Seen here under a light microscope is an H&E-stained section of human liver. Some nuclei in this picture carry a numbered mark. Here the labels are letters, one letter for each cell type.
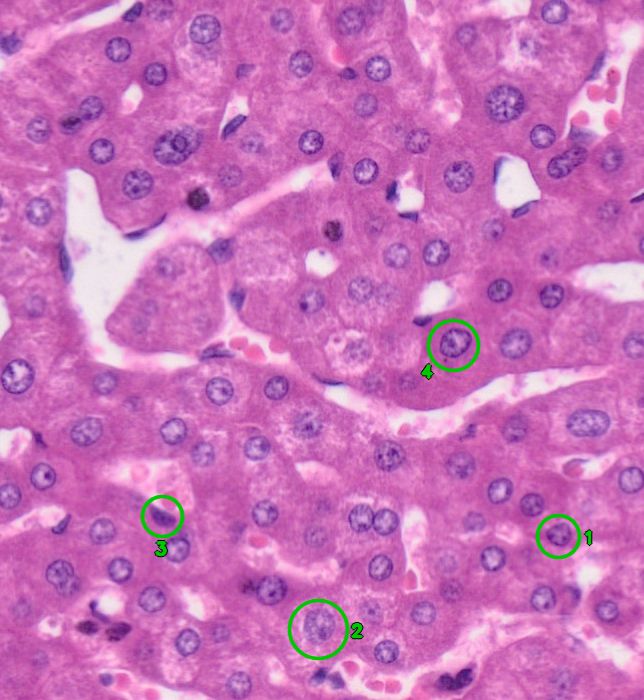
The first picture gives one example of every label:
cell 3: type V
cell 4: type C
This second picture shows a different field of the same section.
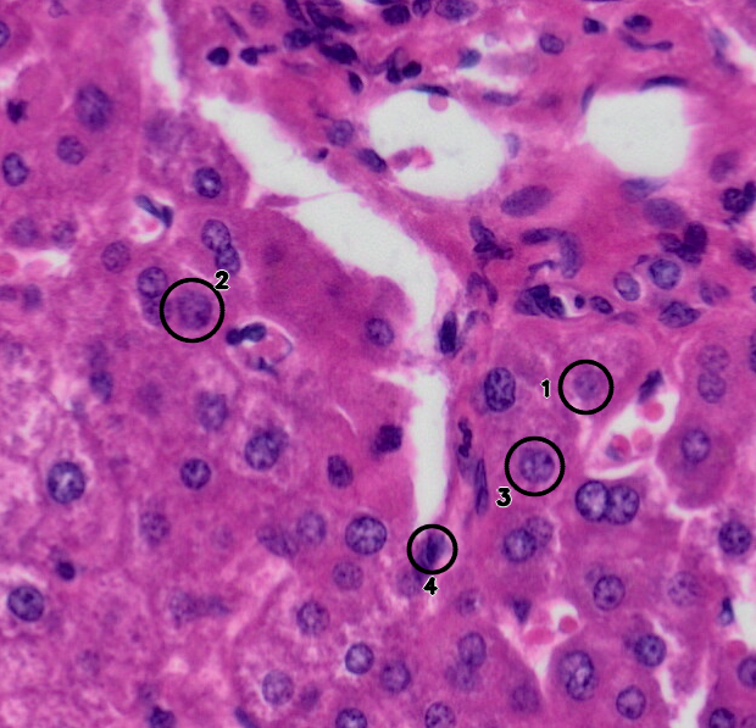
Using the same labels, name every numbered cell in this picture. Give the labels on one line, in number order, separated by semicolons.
type C; type C; type C; type V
